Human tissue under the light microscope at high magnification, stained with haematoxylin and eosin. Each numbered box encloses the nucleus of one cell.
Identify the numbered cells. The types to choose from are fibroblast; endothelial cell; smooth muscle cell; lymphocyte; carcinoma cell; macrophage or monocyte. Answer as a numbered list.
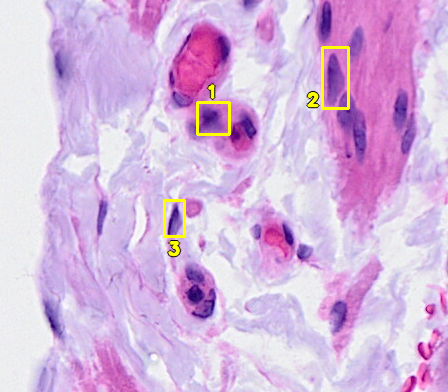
1. endothelial cell
2. smooth muscle cell
3. fibroblast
